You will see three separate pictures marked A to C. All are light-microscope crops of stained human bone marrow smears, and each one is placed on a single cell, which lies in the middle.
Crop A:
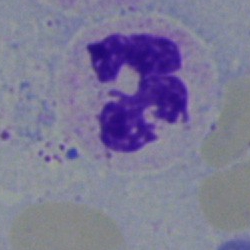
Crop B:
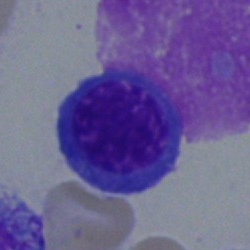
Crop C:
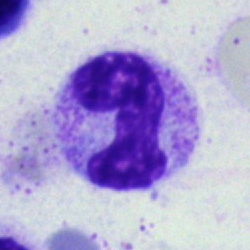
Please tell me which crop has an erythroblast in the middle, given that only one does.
B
